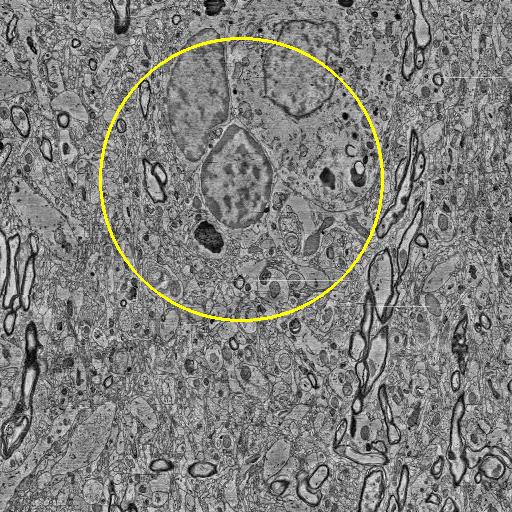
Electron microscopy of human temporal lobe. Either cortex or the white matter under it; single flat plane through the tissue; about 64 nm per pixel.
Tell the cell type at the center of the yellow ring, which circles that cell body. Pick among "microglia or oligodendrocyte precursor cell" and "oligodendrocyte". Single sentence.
The ring is centered on the body of a microglial cell or oligodendrocyte precursor cell.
